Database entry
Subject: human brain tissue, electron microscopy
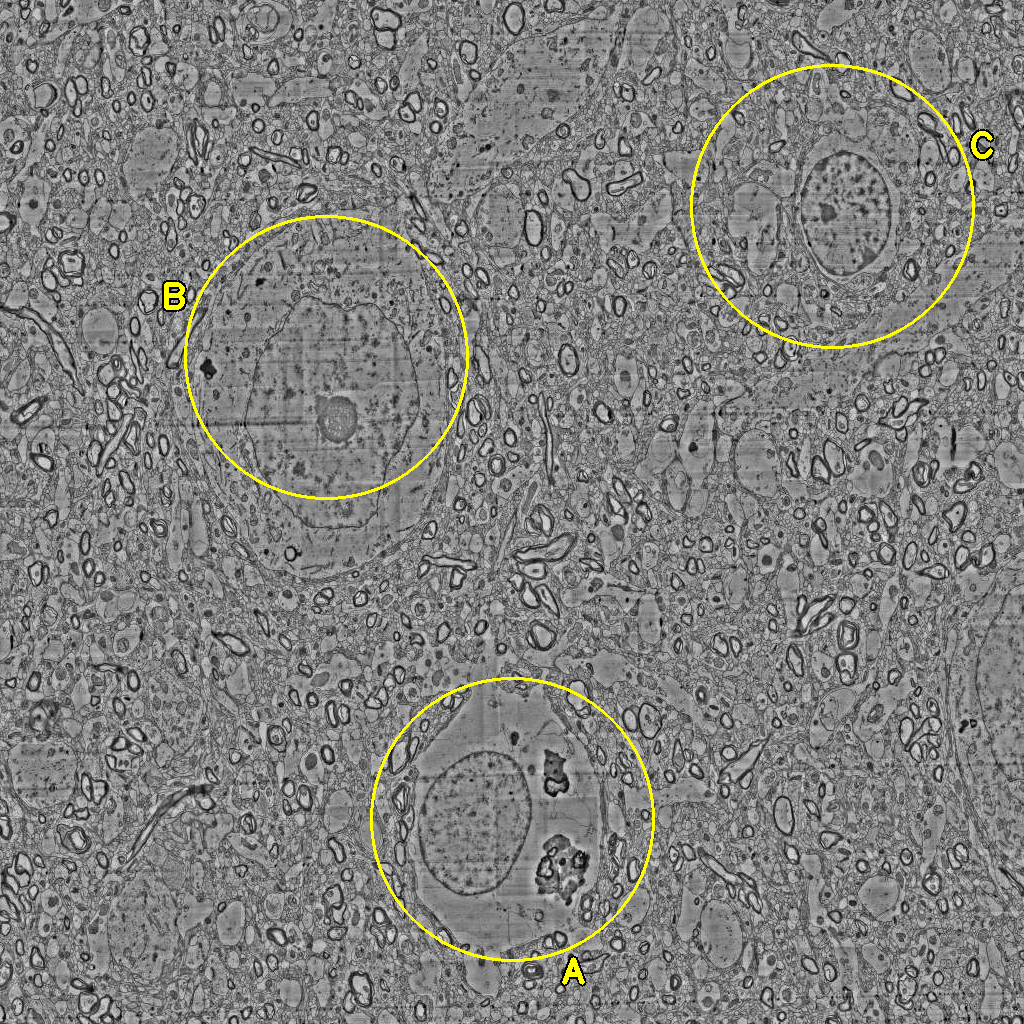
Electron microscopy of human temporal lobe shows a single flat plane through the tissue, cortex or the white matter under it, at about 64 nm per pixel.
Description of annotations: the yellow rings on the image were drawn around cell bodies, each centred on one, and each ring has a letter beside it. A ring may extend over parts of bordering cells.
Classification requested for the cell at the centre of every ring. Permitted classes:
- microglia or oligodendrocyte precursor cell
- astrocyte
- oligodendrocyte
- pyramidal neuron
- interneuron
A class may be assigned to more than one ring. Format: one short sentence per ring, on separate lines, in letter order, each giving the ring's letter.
The cell body at the centre of ring A is an astrocyte.
The cell body at the centre of ring B is a pyramidal neuron.
The cell body at the centre of ring C is a microglial cell or oligodendrocyte precursor cell.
